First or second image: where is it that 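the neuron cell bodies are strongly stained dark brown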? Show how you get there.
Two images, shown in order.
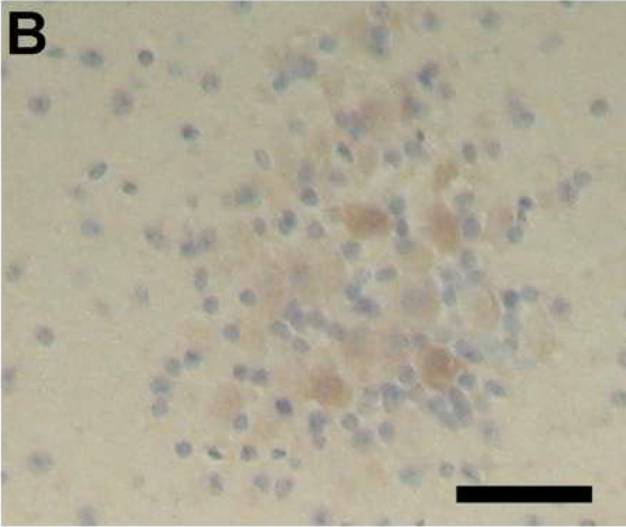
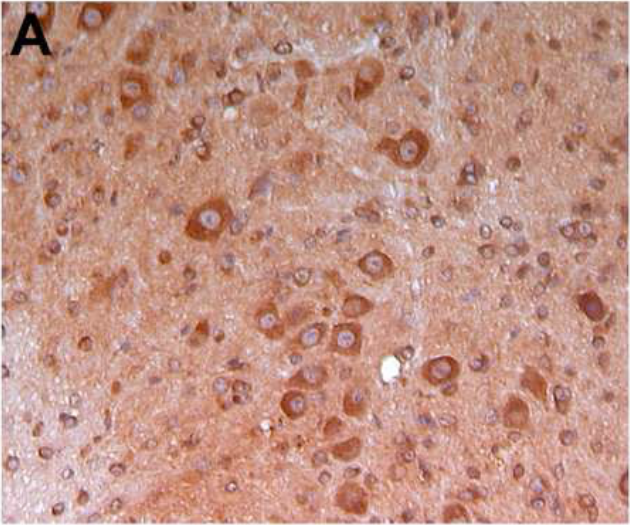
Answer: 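First image: cell bodies are only faintly brown among blue nuclei. Second image: many cell bodies are intensely dark brown.
Hence: the second image.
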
